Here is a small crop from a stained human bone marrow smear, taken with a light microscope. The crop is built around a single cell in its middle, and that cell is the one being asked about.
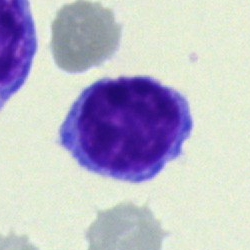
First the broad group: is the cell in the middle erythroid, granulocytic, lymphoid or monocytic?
lymphoid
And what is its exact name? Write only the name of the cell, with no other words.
lymphocyte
